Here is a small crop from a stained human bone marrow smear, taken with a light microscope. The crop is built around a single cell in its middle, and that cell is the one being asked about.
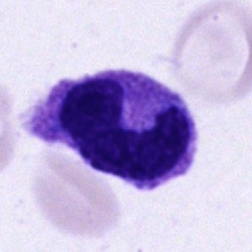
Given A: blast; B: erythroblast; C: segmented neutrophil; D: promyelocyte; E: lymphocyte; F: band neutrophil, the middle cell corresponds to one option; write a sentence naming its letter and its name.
The cell placed in the middle is a band neutrophil; option F is correct.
